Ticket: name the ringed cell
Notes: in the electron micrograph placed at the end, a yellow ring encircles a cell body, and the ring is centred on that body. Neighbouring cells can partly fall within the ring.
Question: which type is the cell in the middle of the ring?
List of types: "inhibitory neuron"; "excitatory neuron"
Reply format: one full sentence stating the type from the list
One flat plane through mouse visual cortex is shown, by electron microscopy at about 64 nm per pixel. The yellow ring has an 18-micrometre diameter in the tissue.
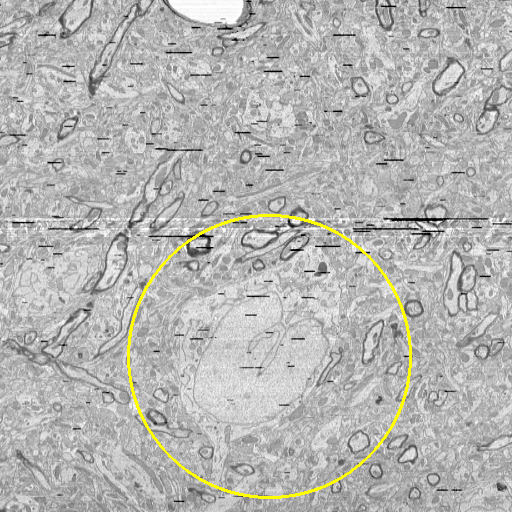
The cell sitting at the centre of the yellow ring is an inhibitory neuron.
